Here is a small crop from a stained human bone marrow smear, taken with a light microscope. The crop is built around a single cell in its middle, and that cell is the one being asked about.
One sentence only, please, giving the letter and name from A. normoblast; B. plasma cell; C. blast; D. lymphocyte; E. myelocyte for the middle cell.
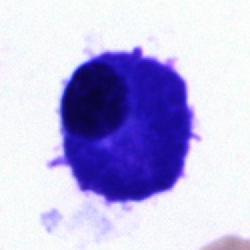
For this crop, option B is right, the centered cell being a plasma cell.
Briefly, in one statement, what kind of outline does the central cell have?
Ragged or projecting, the border of this cell departs from a smooth contour.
